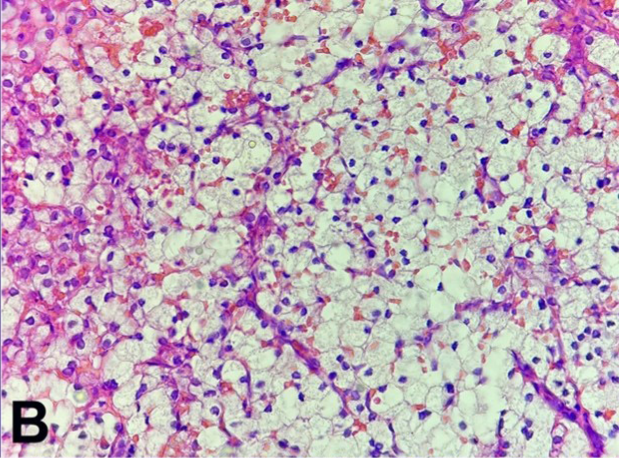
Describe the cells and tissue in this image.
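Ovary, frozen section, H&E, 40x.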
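Sheets of tumor cells with wide, pale, vacuolated cytoplasm fill the field. Cell borders are fine and give a mesh-like pattern. Thin pink strands and red blood cells run between the cells. No glandular or papillary arrangement is seen.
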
